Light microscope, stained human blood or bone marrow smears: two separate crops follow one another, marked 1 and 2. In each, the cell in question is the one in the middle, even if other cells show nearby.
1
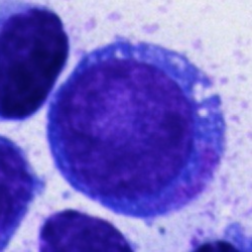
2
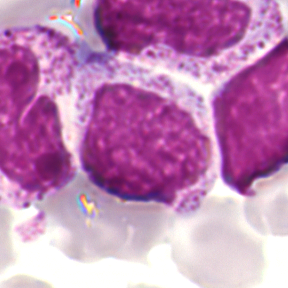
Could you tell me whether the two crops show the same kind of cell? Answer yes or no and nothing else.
no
